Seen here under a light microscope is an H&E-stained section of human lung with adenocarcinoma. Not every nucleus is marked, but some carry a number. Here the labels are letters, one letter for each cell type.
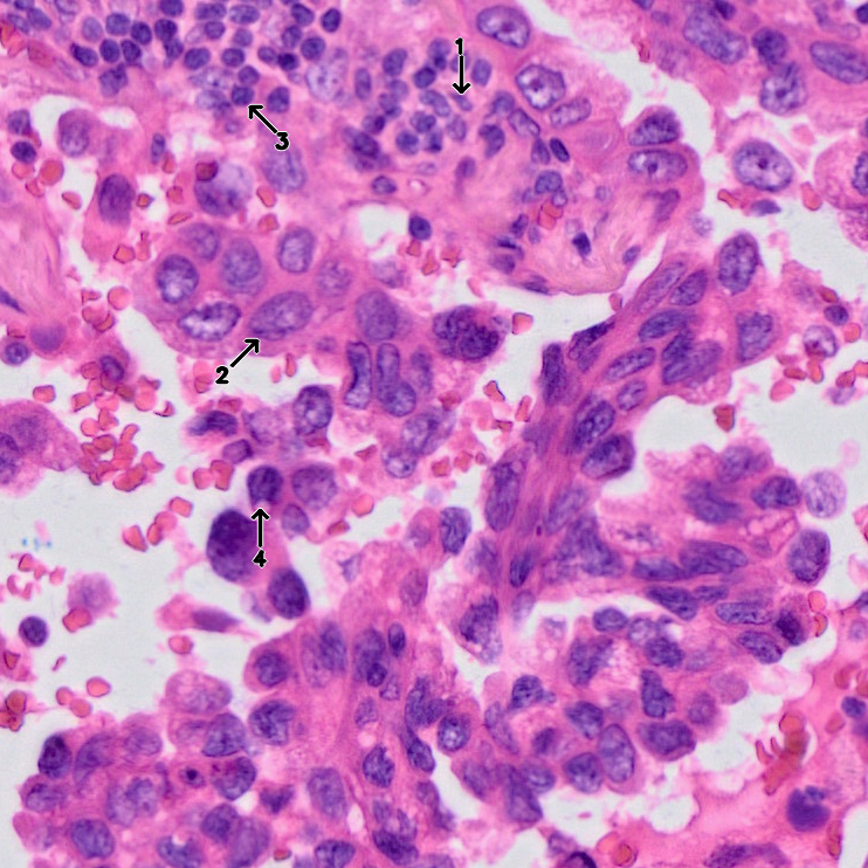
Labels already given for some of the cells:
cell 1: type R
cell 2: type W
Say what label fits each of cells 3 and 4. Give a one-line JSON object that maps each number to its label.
{"3": "type R", "4": "type W"}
